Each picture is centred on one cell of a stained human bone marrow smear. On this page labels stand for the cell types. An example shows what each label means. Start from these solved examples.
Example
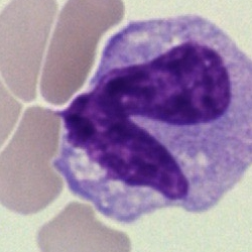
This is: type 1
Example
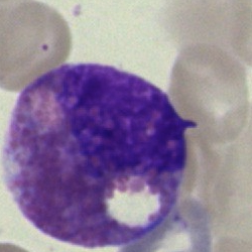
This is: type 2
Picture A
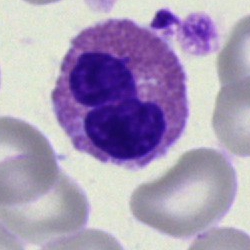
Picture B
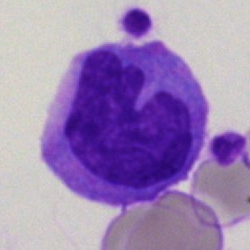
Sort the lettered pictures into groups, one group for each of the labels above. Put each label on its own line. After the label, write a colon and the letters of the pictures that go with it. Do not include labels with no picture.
type 1: B
type 2: A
